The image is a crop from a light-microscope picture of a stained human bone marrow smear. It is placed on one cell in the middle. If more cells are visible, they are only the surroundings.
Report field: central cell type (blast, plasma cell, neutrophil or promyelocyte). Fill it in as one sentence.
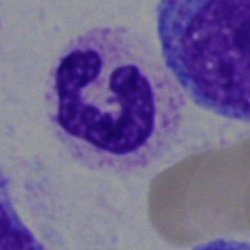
At the center of the crop sits a neutrophil.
